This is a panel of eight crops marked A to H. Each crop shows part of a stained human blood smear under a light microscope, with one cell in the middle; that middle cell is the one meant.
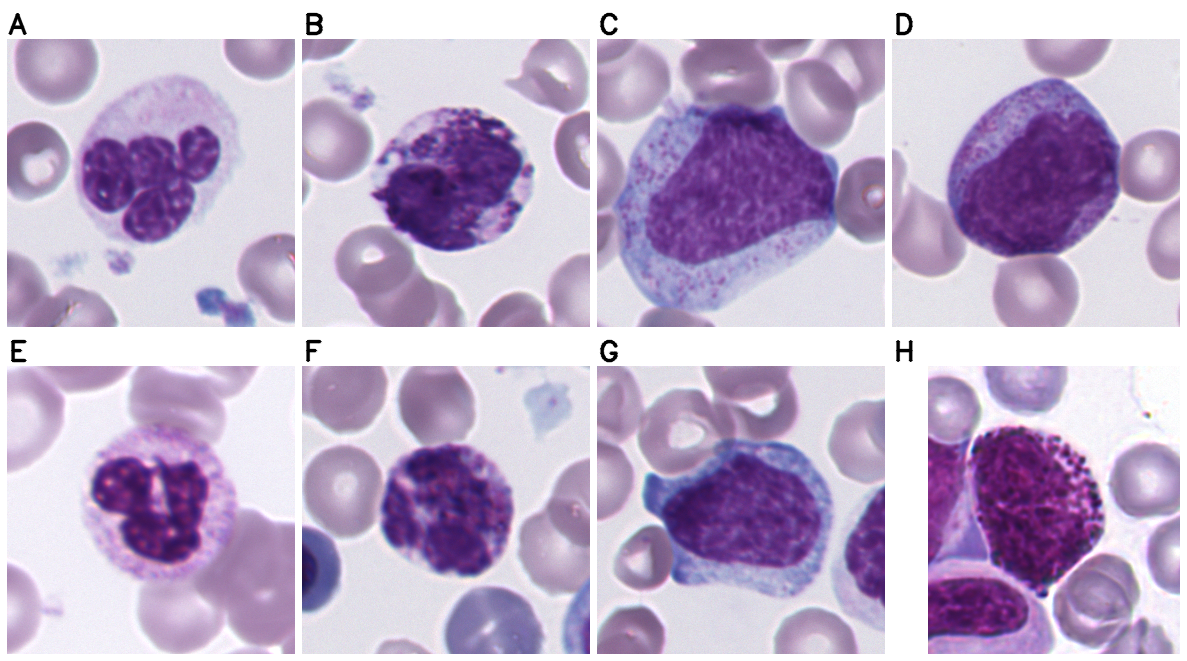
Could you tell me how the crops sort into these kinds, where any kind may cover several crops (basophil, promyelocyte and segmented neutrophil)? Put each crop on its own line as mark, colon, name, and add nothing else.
A: segmented neutrophil
B: basophil
C: promyelocyte
D: promyelocyte
E: segmented neutrophil
F: basophil
G: promyelocyte
H: basophil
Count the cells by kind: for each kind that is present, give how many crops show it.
basophil: 3
promyelocyte: 3
segmented neutrophil: 2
